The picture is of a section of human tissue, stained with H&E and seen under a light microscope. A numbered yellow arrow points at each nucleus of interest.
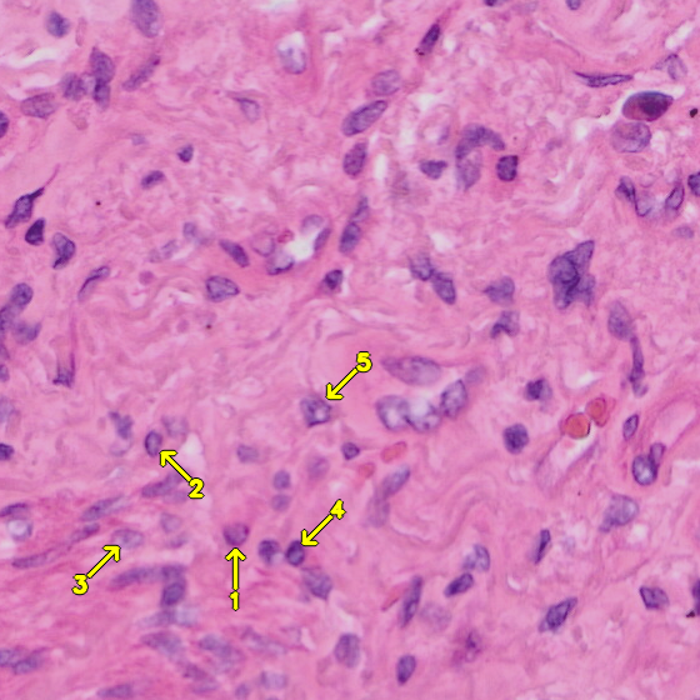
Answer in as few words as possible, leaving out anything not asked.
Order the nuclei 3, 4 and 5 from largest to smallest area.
5, 3, 4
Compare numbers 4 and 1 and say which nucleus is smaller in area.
4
